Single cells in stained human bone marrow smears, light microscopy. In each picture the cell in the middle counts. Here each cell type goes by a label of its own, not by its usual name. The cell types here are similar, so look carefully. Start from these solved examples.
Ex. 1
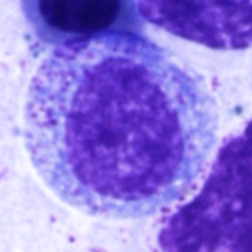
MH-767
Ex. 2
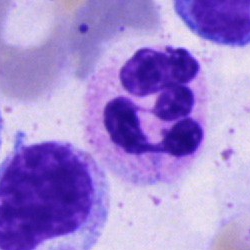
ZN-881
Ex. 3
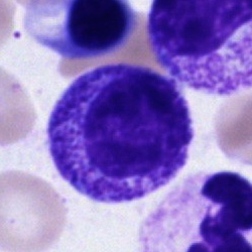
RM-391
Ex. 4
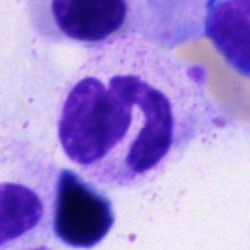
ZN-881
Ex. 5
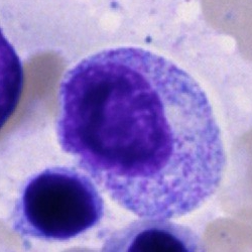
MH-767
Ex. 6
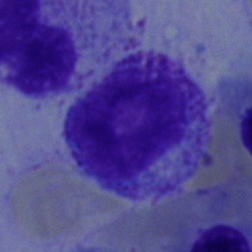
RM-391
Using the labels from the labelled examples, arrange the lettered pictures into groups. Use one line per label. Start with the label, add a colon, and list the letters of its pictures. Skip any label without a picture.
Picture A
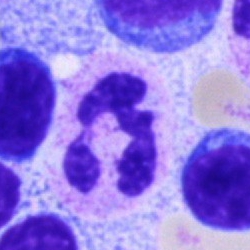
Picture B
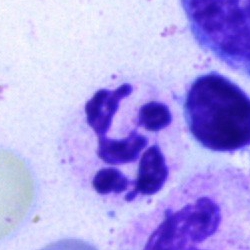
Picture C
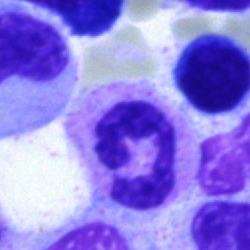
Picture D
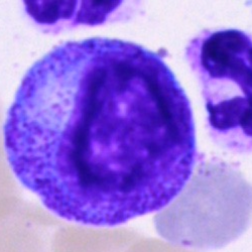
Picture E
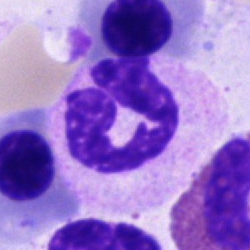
MH-767: D
ZN-881: A, B, C, E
